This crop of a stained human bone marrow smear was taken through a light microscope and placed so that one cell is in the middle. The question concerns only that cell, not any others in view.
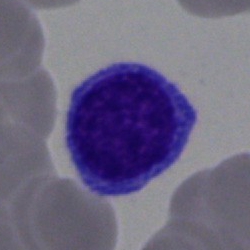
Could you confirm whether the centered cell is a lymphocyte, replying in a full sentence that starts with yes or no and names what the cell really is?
Yes, it is a lymphocyte that lies in the middle.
